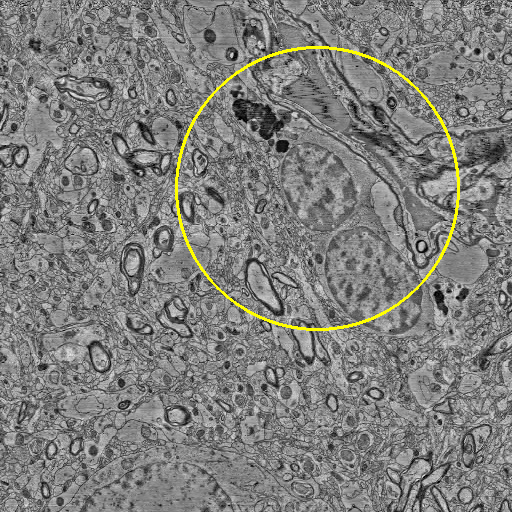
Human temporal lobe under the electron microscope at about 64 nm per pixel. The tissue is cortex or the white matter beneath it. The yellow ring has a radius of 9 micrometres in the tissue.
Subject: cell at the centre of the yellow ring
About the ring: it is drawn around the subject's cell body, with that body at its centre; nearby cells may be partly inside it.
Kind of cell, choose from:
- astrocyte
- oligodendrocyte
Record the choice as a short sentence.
The subject cell is an oligodendrocyte.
